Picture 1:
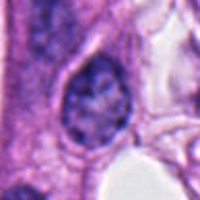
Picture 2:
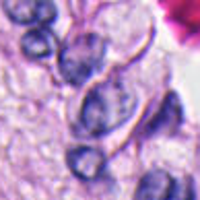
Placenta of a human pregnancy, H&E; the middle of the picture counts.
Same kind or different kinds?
Different: the first is a cytotrophoblast, the second a vascular myocyte.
